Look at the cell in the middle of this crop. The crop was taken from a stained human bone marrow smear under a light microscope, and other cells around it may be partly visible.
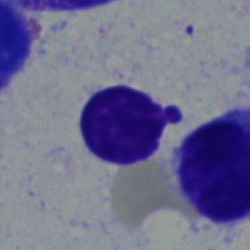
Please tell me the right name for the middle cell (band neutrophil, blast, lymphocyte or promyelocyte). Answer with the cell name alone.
lymphocyte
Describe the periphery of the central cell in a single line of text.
Around its circumference, the cell has an uneven edge, ragged or projecting in places.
